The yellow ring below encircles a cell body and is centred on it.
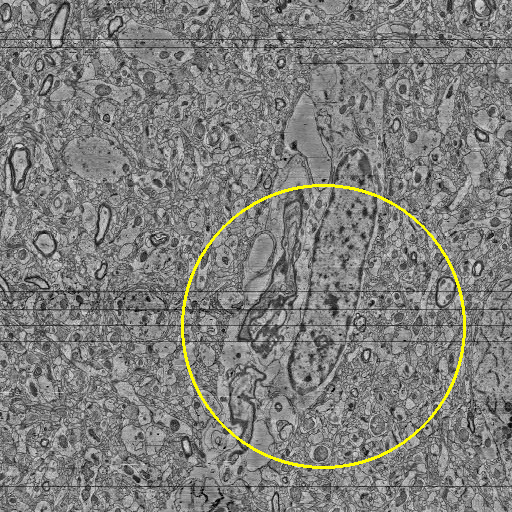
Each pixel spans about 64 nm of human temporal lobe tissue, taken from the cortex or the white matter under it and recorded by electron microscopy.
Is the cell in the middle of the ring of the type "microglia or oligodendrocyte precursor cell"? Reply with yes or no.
yes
